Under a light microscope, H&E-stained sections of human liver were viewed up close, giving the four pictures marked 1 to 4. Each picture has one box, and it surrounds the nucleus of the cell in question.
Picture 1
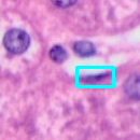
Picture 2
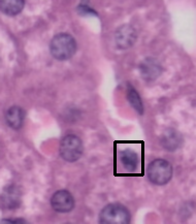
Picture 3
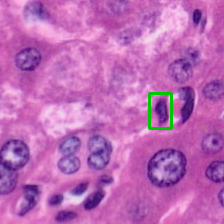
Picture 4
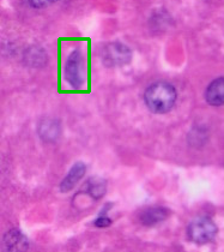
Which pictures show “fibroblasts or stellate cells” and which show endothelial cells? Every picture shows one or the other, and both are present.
1: endothelial cell
2: fibroblast or stellate cell
3: fibroblast or stellate cell
4: endothelial cell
